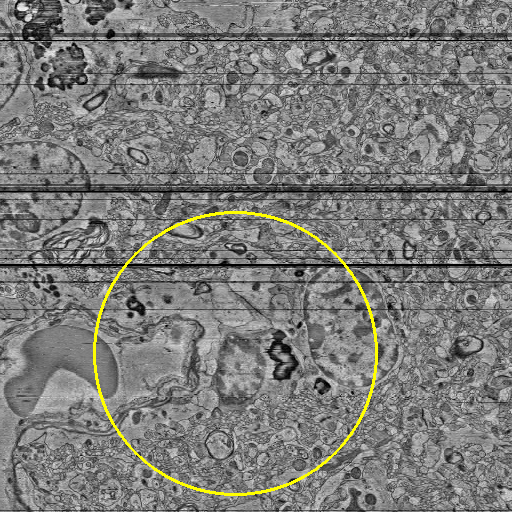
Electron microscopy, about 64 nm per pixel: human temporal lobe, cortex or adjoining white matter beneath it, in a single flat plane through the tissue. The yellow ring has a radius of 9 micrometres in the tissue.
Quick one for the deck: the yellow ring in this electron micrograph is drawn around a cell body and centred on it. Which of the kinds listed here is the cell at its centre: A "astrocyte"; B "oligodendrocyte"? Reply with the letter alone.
B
